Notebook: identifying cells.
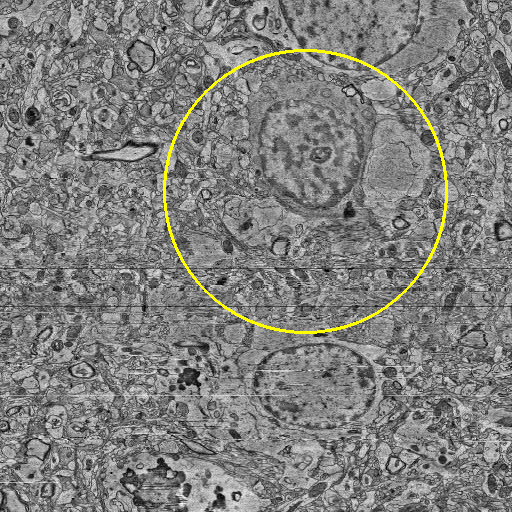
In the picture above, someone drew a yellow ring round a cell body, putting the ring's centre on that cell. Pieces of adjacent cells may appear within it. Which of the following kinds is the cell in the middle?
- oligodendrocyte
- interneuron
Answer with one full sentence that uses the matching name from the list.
In this picture, the yellow ring is centred on the body of an oligodendrocyte.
